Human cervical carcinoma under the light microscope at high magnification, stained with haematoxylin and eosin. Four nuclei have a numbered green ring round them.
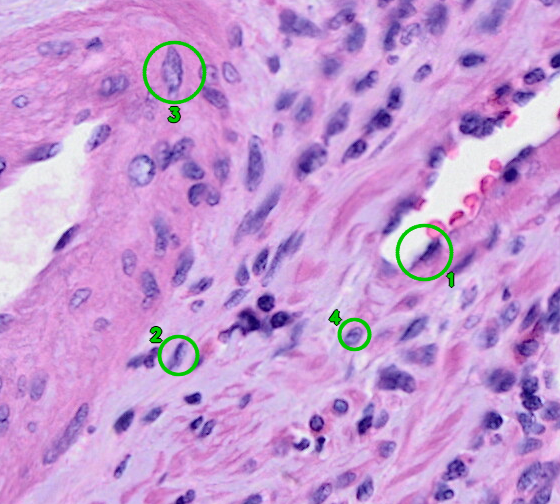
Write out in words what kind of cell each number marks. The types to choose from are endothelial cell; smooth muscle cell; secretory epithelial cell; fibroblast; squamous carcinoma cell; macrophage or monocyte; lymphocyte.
Cell 1 is an endothelial cell, cell 2 is a fibroblast, cell 3 is a smooth muscle cell and cell 4 is a smooth muscle cell.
